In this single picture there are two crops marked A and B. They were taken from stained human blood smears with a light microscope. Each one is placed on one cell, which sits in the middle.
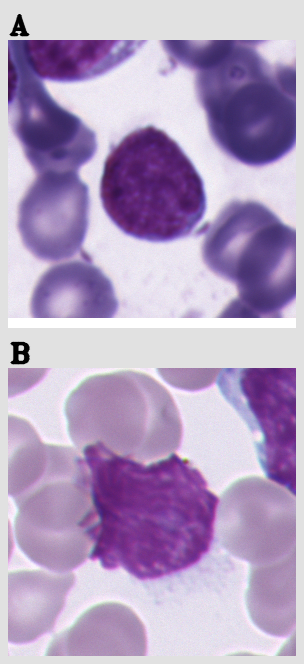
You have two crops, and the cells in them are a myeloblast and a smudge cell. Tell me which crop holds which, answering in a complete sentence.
Placed in the middle of crop A is a myeloblast, and in the middle of crop B, a smudge cell.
